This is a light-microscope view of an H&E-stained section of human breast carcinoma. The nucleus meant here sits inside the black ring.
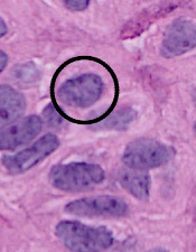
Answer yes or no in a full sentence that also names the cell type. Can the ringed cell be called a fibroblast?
No, the ringed cell is simply a carcinoma cell rather than a fibroblast.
